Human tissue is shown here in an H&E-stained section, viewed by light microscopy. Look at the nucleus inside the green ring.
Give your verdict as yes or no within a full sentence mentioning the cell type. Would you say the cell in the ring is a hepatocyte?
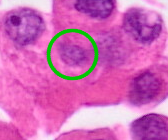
No, not quite: the cell in the ring is a carcinoma cell rather than a hepatocyte.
